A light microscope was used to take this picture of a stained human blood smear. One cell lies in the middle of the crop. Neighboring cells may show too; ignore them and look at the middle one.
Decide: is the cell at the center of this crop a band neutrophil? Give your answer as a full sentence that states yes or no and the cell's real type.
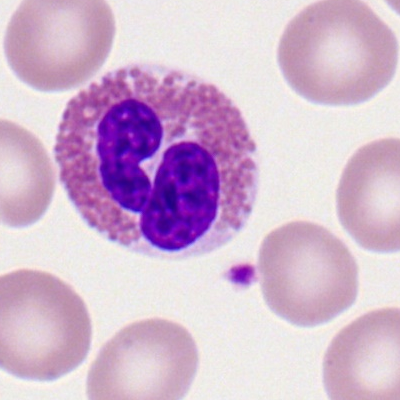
No, the cell in the centre of the crop is an eosinophil as opposed to a band neutrophil.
